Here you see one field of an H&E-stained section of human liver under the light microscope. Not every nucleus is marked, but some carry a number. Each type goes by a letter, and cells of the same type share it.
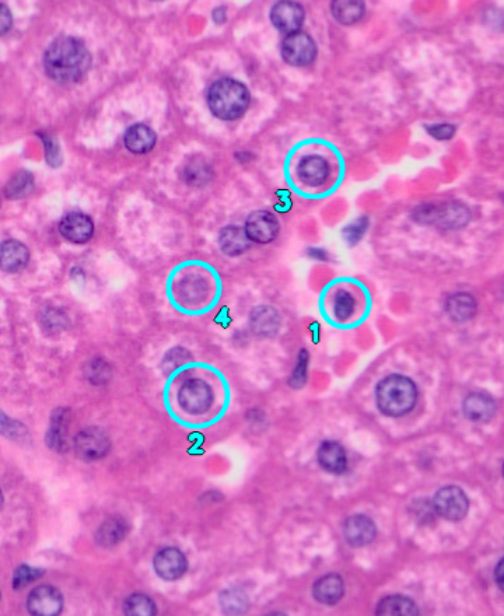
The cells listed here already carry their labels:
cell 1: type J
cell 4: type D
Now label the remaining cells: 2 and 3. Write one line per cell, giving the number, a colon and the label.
2: type D
3: type D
